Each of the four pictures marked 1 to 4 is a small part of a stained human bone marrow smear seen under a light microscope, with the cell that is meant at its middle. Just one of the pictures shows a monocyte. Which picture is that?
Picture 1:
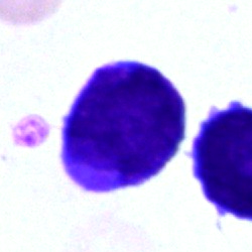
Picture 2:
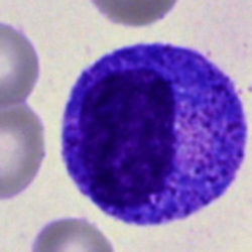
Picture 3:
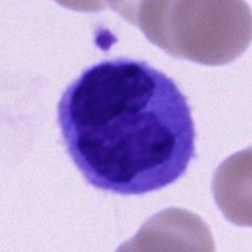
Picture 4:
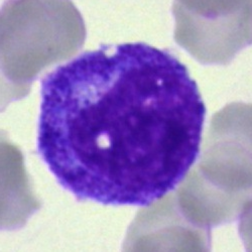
3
